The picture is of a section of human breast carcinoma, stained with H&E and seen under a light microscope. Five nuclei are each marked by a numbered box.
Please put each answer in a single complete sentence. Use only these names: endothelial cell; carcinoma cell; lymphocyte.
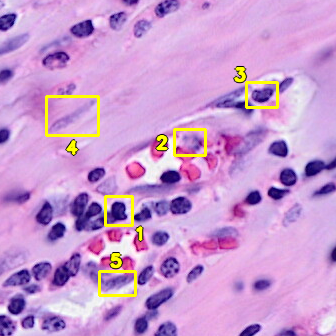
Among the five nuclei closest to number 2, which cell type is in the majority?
Around number 2, most of the five nearest nuclei are those of endothelial cells.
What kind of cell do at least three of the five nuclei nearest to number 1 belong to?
The majority of the five nuclei closest to number 1 belong to lymphocytes.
